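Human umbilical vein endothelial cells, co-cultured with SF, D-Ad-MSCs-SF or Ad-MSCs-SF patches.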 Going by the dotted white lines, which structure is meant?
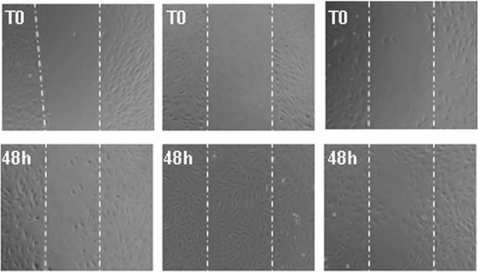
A: the margin of the scratch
